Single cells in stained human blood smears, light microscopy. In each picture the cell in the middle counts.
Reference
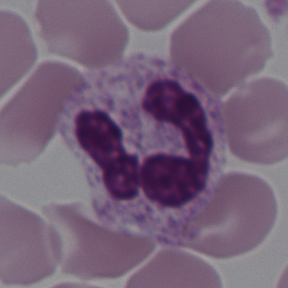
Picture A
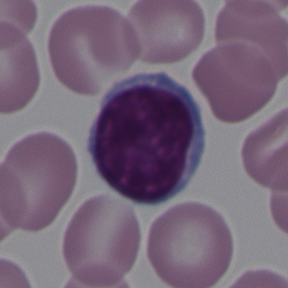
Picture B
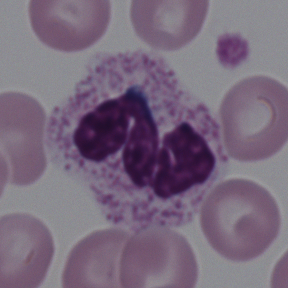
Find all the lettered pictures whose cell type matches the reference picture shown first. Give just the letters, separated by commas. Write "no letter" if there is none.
B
